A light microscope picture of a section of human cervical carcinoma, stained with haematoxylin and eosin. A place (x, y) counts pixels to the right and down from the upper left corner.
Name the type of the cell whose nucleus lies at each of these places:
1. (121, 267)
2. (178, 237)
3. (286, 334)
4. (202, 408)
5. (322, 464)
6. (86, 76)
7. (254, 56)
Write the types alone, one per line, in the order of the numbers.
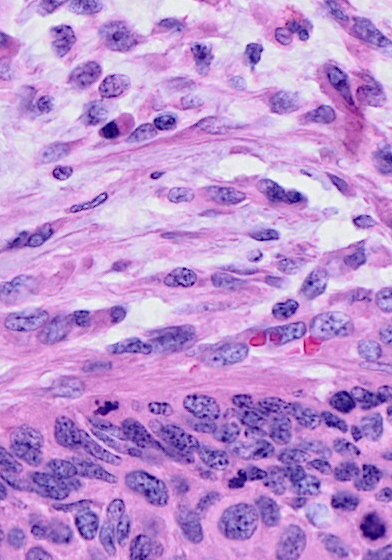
fibroblast
fibroblast
endothelial cell
squamous carcinoma cell
squamous carcinoma cell
macrophage or monocyte
lymphocyte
